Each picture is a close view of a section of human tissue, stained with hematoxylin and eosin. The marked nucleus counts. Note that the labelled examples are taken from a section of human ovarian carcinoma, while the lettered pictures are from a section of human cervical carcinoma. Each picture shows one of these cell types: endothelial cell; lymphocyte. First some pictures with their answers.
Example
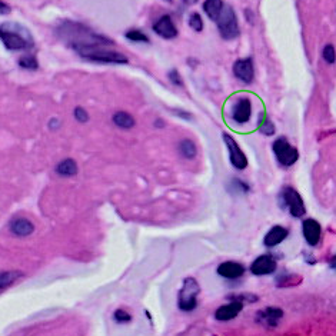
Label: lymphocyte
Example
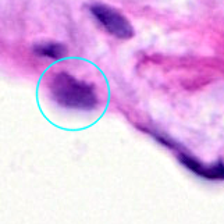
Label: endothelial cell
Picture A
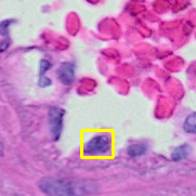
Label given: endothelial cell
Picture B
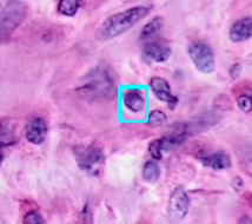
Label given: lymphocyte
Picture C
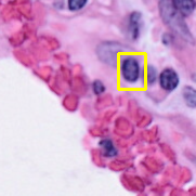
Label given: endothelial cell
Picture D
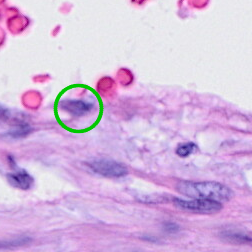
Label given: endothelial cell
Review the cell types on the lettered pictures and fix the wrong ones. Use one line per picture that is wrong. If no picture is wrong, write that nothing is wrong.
C: lymphocyte, not endothelial cell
